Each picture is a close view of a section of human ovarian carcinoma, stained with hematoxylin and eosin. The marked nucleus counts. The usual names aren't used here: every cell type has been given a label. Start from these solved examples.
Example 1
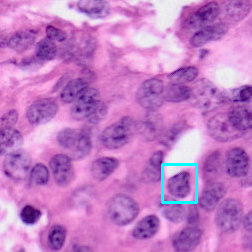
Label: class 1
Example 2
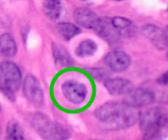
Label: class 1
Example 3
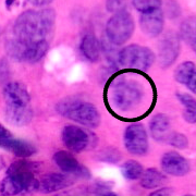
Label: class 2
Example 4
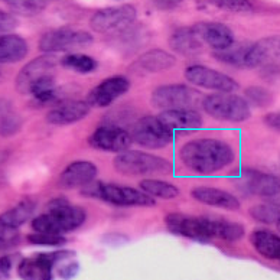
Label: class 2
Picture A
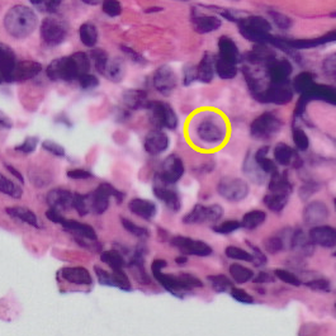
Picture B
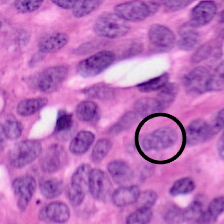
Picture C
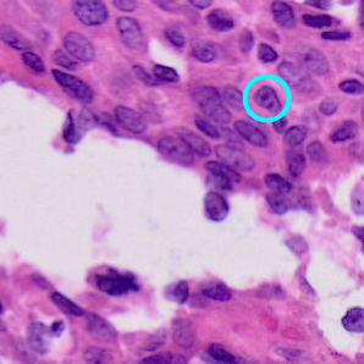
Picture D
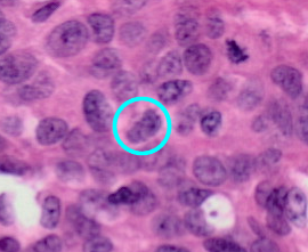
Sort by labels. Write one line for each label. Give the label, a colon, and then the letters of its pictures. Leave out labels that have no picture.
class 1: A, C, D
class 2: B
